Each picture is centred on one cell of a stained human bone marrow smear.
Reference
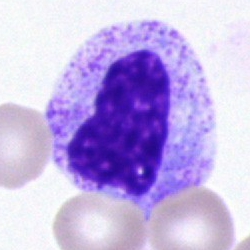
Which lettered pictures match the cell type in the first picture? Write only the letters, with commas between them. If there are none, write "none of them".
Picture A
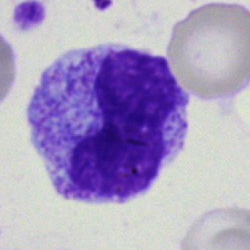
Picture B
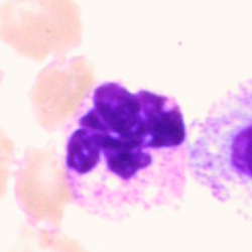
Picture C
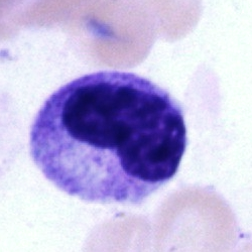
A, C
